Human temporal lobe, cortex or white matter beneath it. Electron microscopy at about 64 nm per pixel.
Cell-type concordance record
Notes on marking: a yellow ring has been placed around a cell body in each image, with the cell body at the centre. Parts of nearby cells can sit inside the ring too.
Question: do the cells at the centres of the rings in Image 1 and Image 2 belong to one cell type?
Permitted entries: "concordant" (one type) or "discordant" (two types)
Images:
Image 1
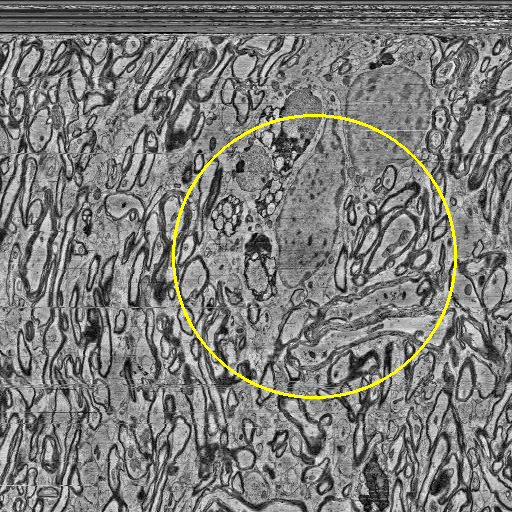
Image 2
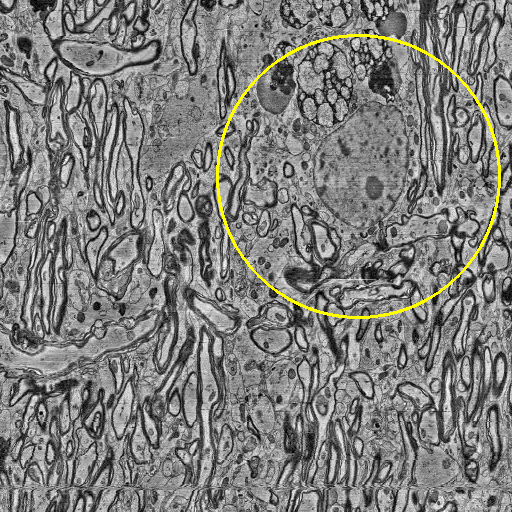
concordant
